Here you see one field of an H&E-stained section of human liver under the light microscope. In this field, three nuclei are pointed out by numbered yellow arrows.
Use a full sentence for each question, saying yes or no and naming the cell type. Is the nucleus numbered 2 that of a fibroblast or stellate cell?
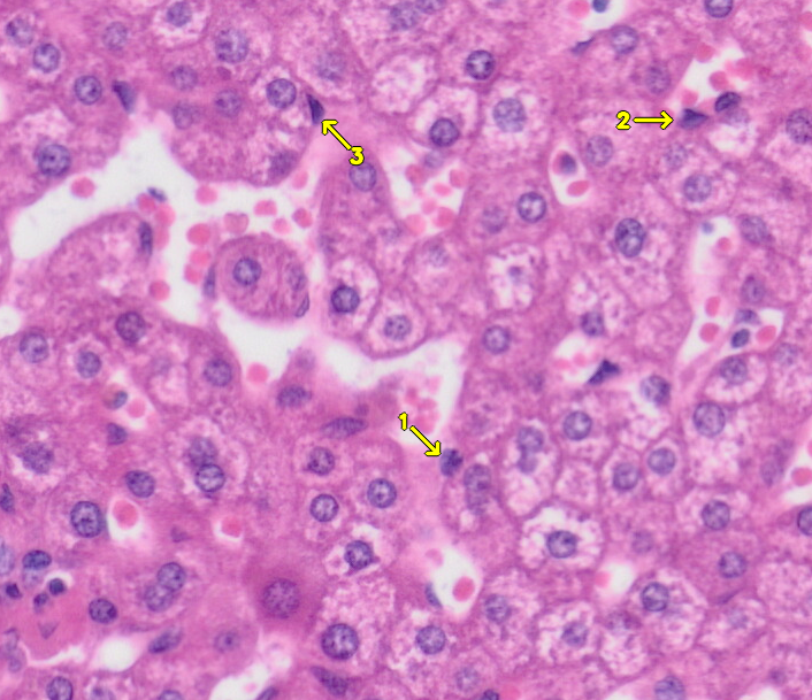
No, cell 2, which is an endothelial cell, is not a fibroblast or stellate cell.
